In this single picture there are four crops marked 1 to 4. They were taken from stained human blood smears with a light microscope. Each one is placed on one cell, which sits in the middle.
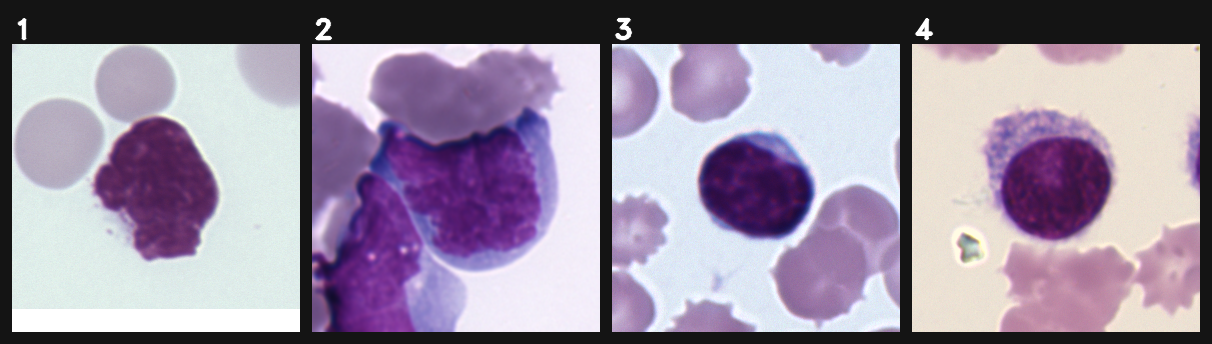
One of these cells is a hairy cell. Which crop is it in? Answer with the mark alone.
4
